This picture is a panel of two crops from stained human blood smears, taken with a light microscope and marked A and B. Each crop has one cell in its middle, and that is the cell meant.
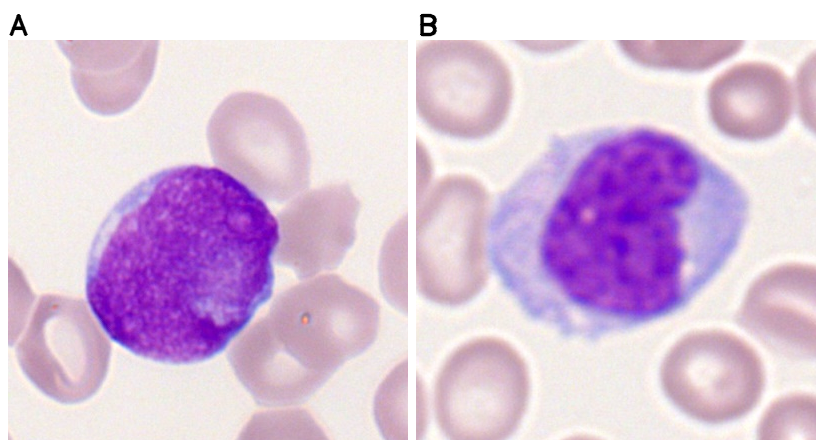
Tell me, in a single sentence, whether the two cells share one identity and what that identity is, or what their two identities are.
No, crop A has a myeloblast in the middle, and crop B has a monocyte.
